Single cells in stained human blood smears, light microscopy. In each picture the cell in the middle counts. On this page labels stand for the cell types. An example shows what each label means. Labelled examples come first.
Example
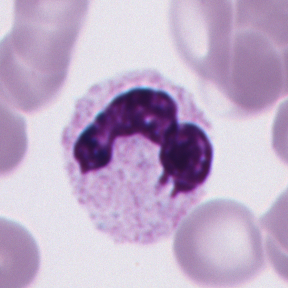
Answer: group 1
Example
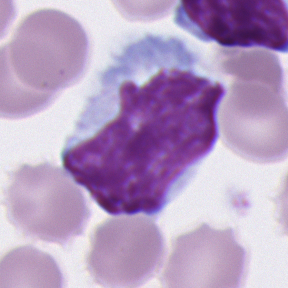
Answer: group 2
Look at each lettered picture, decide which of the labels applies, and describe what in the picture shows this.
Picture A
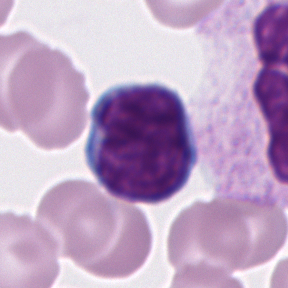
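group 2. The nucleus is a single unlobed mass.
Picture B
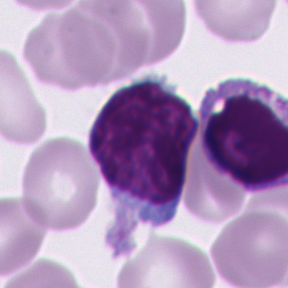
group 2. The nucleus fills most of the cell.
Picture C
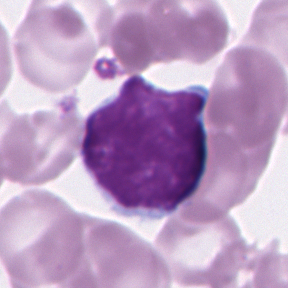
group 2. The nucleus fills almost the whole cell.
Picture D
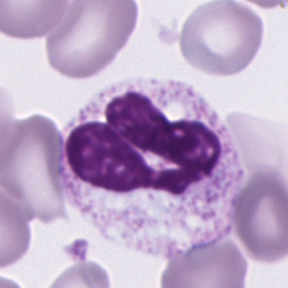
group 1. The cytoplasm is abundant and very pale.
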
